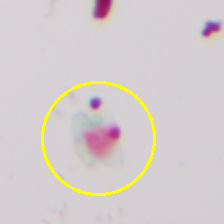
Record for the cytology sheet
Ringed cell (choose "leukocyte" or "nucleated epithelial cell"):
nucleated epithelial cell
